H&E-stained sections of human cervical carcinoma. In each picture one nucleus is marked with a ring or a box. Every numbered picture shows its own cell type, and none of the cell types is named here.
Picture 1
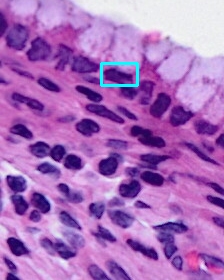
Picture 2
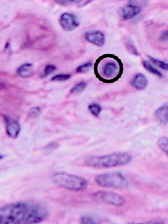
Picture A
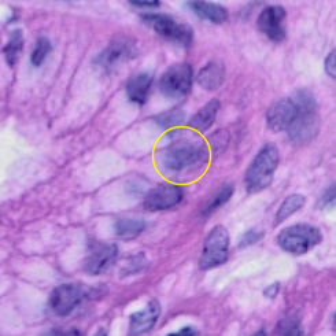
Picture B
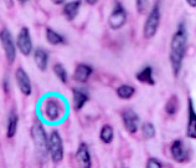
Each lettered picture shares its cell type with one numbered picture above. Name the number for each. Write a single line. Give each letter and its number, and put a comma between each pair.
A 1, B 2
